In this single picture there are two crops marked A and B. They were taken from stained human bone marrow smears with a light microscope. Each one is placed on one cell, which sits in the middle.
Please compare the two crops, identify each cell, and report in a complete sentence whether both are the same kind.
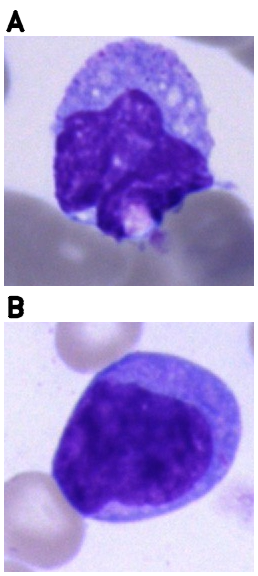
No, crop A corresponds to a monocyte, while crop B corresponds to a blast.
